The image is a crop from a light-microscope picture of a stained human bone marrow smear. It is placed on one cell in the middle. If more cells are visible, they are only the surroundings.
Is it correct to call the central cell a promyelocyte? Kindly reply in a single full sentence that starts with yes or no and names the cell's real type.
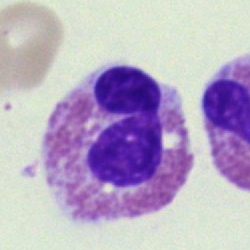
No, the central cell in this crop is an eosinophil and not a promyelocyte.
